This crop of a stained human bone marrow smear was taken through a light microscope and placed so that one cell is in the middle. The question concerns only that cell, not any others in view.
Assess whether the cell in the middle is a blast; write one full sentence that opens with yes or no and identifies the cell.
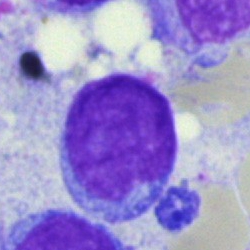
Yes, the cell in the middle of the view is a blast.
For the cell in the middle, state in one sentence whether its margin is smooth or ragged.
The cell shows a smooth outline that lacks any surface projections.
